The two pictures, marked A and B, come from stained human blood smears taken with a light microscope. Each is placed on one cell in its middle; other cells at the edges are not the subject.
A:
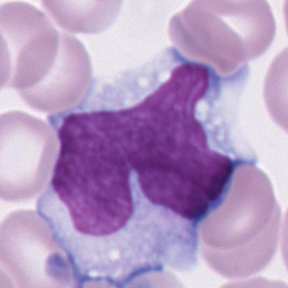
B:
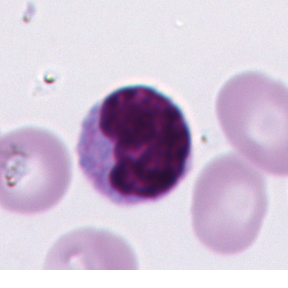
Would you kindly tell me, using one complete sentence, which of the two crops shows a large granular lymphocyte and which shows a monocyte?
Within crop A sits a monocyte, and within crop B sits a large granular lymphocyte.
